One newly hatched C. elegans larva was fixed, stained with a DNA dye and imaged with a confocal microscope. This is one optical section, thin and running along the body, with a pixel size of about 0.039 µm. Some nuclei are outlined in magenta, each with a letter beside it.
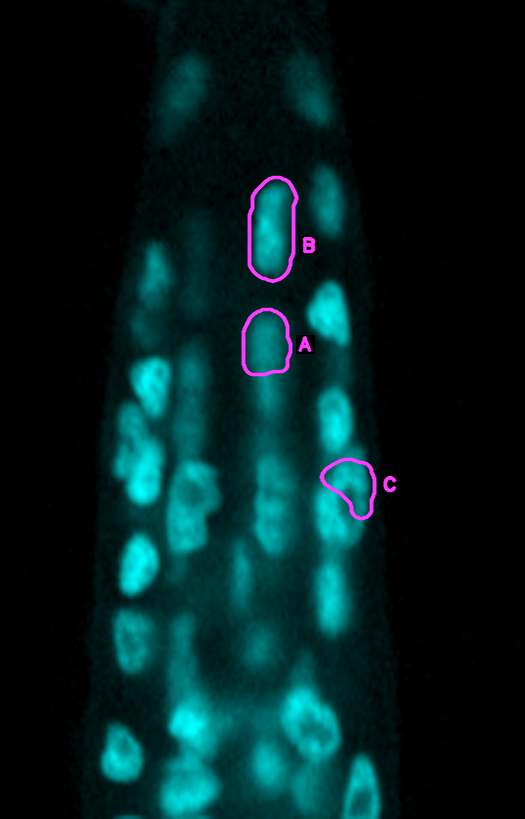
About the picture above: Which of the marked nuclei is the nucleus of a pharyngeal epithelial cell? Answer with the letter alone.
B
